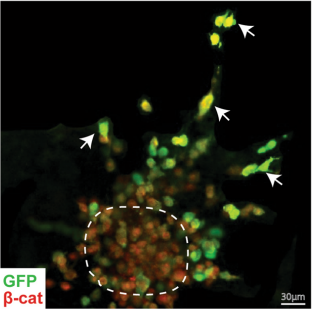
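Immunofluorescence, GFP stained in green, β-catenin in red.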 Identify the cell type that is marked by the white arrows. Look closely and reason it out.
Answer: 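Invasive cells. The arrowed cells sit at the outer edge, away from the dense central mass. The arrowed cells are bright in both green and red.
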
